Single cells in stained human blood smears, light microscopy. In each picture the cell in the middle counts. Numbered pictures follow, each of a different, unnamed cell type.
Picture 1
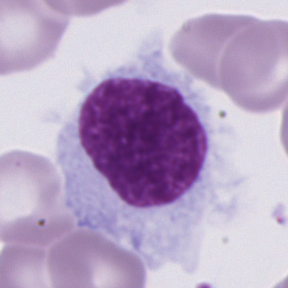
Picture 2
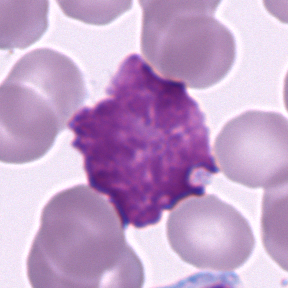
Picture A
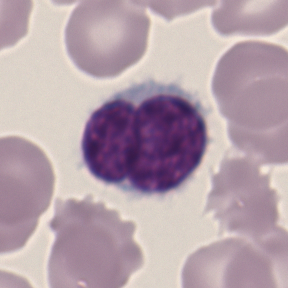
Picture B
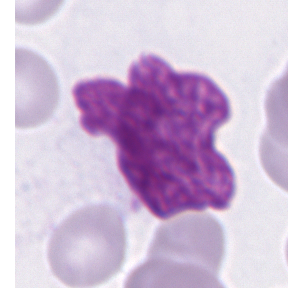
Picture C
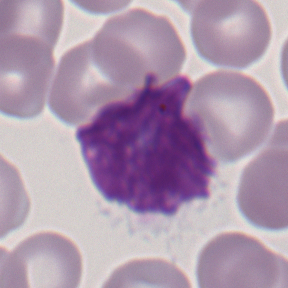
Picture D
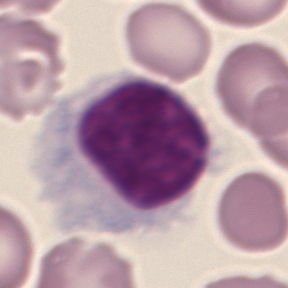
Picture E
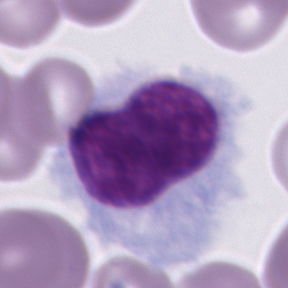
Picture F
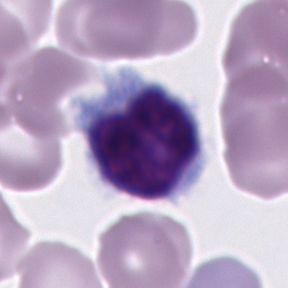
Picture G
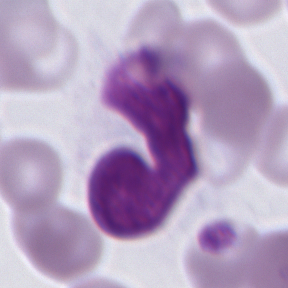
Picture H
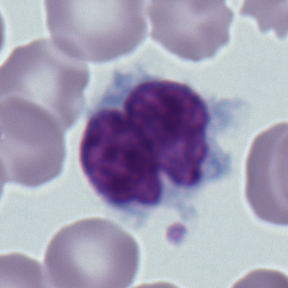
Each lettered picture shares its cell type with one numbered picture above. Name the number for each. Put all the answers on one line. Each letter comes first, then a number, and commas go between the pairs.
A 1, B 2, C 2, D 1, E 1, F 1, G 2, H 1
